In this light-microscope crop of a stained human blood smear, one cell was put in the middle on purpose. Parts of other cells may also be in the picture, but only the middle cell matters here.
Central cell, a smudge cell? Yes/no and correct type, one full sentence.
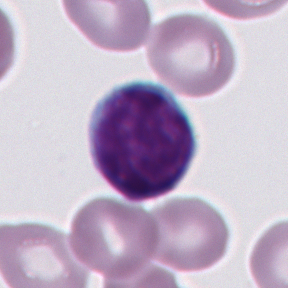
No, the cell placed in the centre is a typical lymphocyte and is not a smudge cell.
